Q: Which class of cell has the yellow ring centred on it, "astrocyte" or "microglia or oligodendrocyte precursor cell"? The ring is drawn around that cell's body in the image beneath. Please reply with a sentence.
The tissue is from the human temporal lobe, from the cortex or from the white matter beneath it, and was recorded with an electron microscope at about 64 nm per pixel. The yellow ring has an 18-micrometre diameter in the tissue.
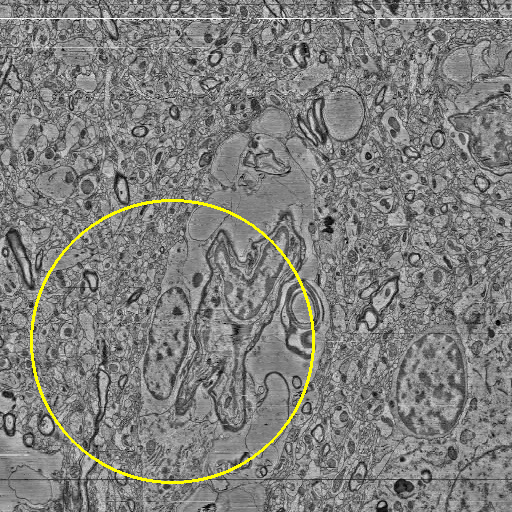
It is centred on a microglial cell or oligodendrocyte precursor cell.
